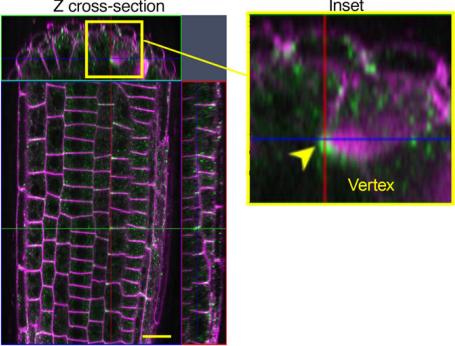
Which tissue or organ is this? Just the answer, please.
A: Root.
